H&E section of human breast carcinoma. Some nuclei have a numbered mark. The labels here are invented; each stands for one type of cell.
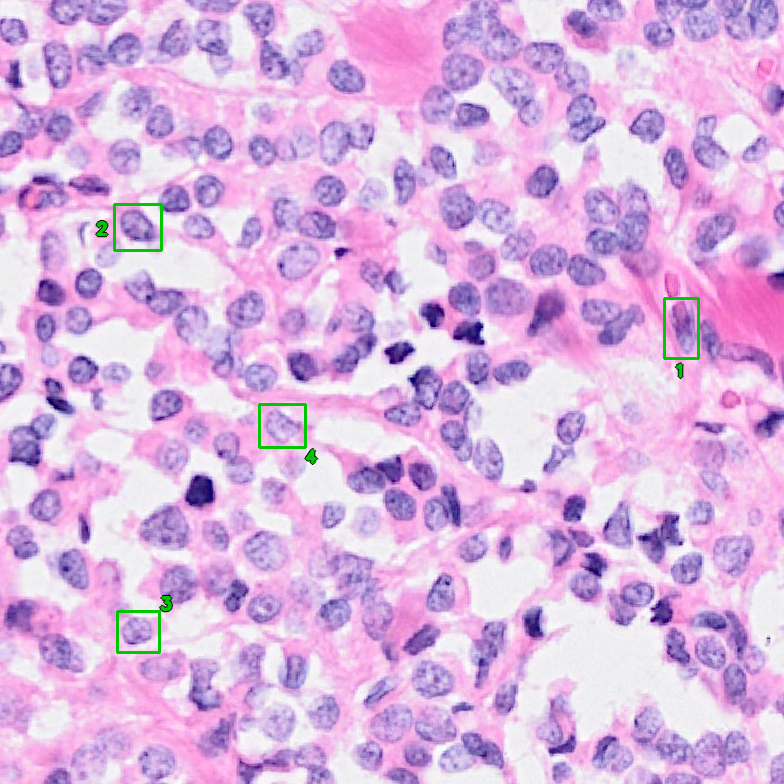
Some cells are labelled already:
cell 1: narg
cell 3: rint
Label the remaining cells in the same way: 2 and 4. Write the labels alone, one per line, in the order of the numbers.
rint
rint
